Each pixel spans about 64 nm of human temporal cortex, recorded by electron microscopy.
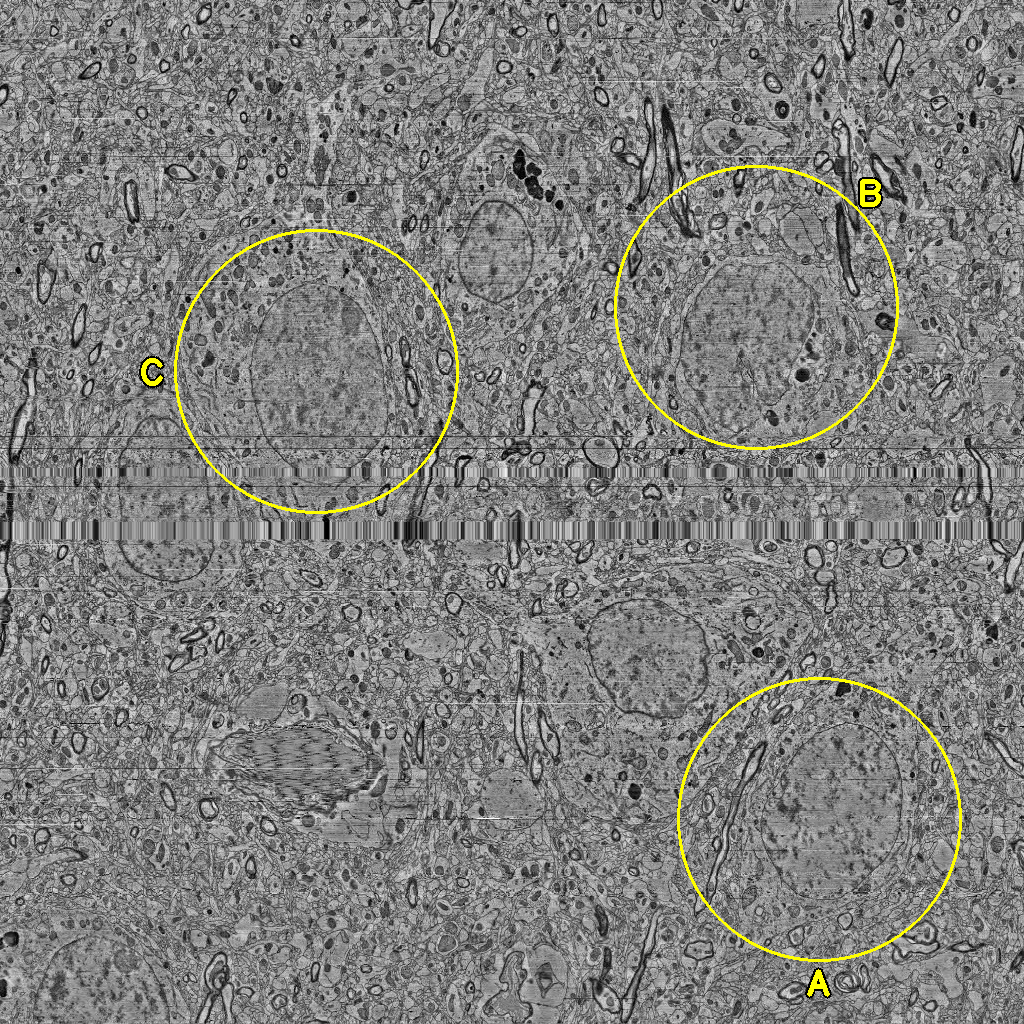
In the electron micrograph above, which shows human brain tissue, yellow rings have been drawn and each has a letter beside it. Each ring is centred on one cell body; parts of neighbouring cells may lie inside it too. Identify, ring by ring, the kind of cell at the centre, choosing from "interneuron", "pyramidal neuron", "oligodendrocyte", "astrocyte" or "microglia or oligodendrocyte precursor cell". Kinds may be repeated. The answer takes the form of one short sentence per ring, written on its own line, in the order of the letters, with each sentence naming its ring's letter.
Inside ring A, at its centre, is a pyramidal neuron.
Inside ring B, at its centre, is an interneuron.
Inside ring C, at its centre, is an interneuron.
